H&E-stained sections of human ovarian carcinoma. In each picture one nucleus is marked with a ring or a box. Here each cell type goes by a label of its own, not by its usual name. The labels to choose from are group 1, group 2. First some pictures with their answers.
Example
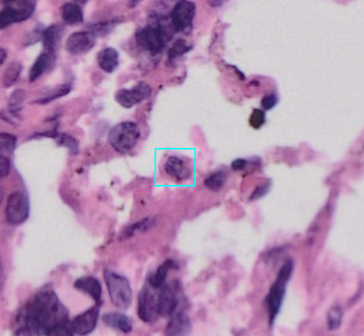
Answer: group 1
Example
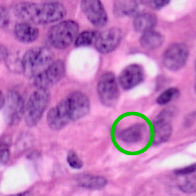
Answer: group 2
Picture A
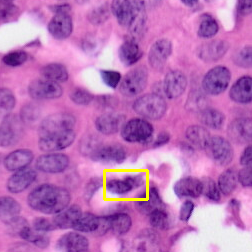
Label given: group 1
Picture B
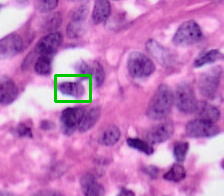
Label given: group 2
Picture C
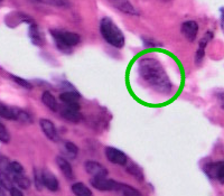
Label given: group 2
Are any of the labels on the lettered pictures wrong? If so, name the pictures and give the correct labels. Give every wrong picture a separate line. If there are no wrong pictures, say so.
A is labelled group 1; correct label: group 2
C is labelled group 2; correct label: group 1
